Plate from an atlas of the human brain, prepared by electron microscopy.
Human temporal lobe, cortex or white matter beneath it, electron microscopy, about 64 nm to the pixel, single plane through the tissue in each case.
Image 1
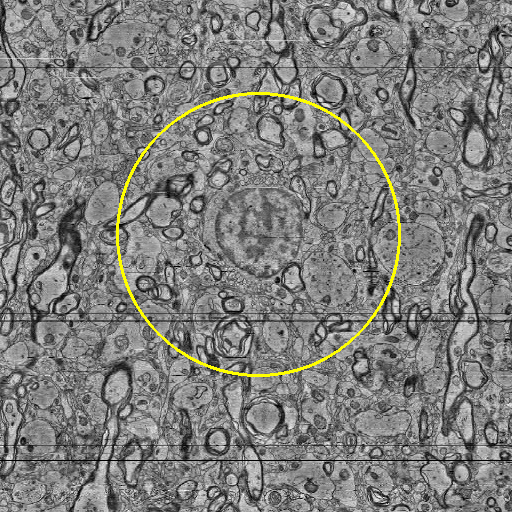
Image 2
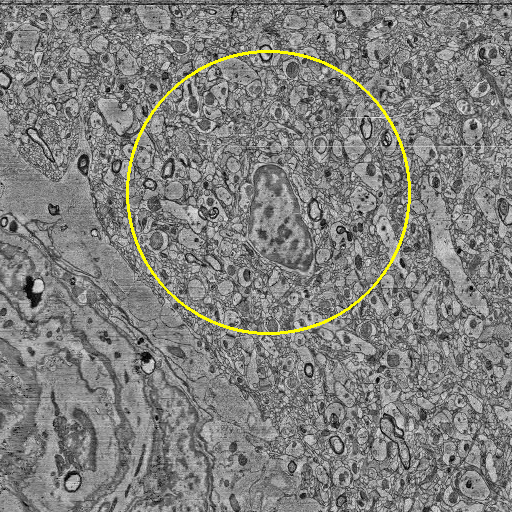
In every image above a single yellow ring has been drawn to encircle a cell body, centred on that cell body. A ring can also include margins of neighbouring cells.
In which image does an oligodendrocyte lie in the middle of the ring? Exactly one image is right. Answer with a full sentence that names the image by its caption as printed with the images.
Image 1 holds the requested cell at the very centre of its ring.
